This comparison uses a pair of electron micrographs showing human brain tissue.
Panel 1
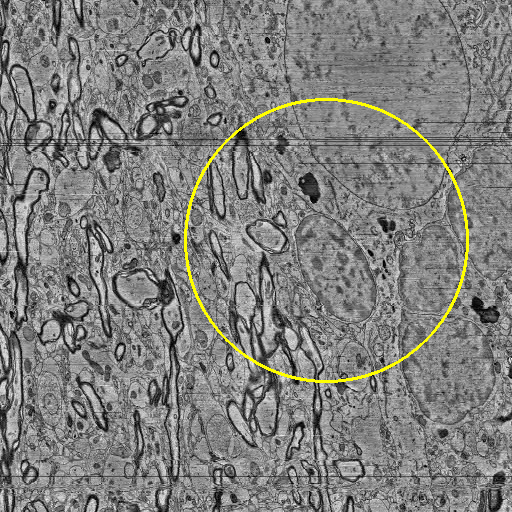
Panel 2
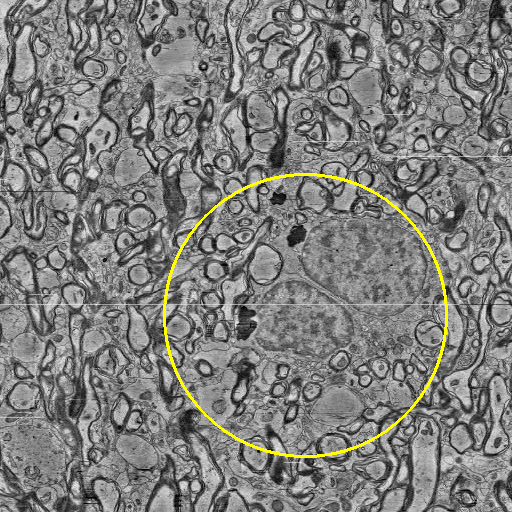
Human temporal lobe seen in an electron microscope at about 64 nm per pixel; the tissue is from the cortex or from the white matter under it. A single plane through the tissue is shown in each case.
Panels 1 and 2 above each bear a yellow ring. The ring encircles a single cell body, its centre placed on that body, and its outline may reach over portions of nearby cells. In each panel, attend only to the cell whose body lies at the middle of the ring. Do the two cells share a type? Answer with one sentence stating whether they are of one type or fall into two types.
In Panel 1 and Panel 2, the cells at the centres of the rings fall into two types.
